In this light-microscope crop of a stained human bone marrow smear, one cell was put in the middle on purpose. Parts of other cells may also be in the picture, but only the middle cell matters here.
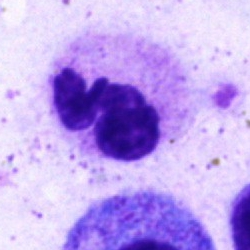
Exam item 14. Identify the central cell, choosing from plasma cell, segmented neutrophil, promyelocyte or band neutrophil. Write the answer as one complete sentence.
By classification, the middle cell of this crop is a segmented neutrophil.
